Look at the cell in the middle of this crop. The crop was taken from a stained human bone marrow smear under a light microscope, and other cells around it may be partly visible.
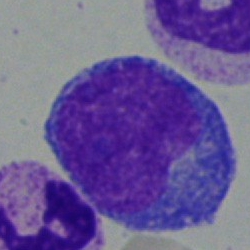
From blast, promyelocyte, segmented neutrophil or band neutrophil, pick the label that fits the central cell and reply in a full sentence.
By classification, the middle cell of this crop is a blast.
